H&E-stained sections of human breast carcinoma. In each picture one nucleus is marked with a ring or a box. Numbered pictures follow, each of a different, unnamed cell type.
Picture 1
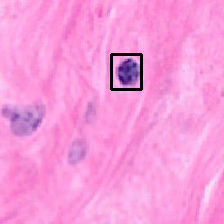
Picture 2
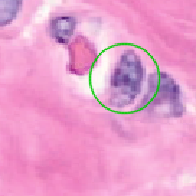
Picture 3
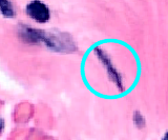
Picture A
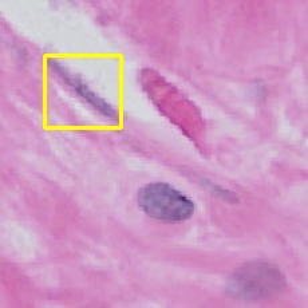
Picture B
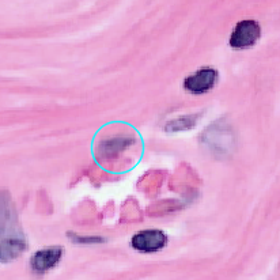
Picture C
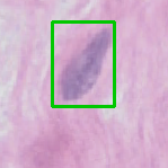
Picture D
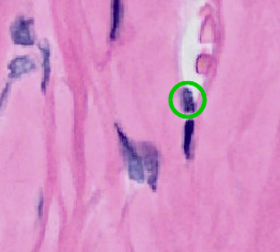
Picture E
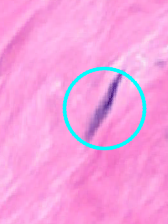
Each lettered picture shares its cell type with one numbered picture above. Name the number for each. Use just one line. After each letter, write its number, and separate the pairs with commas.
A 2, B 2, C 3, D 2, E 3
